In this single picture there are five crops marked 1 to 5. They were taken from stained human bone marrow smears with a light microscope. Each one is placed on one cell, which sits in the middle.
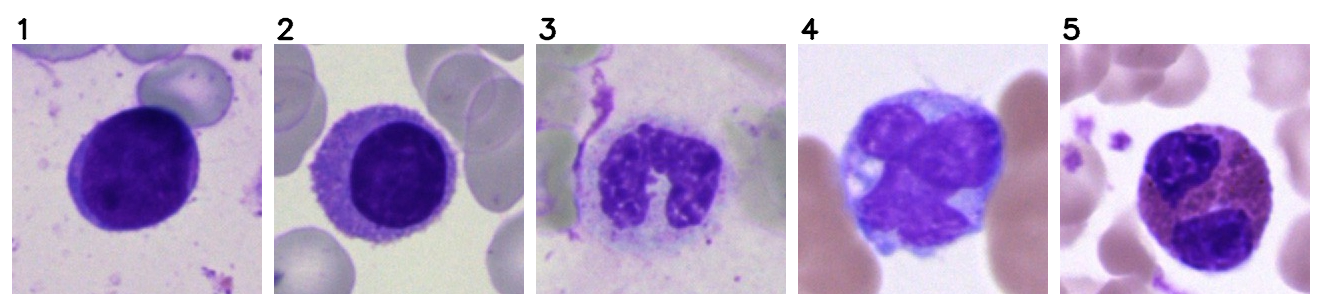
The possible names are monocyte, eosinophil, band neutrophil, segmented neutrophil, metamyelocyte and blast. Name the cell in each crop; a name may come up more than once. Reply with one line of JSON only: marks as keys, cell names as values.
{"1": "blast", "2": "monocyte", "3": "band neutrophil", "4": "monocyte", "5": "eosinophil"}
